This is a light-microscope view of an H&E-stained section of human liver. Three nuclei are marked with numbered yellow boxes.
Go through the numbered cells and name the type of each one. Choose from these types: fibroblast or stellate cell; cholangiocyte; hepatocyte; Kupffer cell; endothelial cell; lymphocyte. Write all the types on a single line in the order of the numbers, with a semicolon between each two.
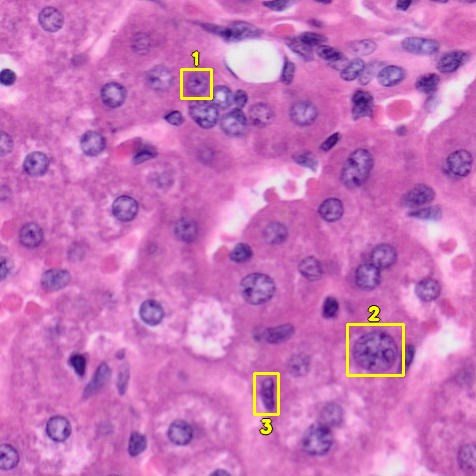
cholangiocyte; hepatocyte; fibroblast or stellate cell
